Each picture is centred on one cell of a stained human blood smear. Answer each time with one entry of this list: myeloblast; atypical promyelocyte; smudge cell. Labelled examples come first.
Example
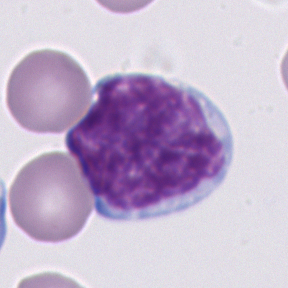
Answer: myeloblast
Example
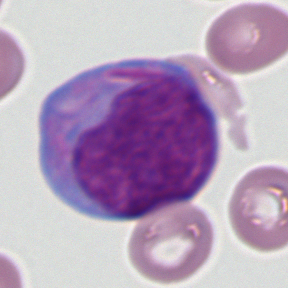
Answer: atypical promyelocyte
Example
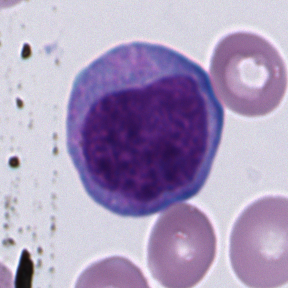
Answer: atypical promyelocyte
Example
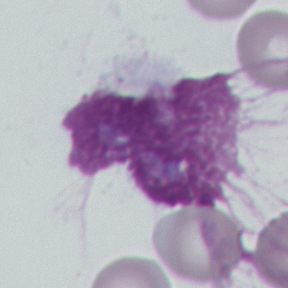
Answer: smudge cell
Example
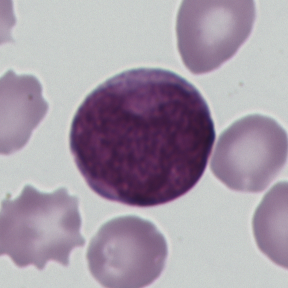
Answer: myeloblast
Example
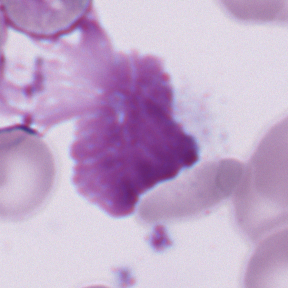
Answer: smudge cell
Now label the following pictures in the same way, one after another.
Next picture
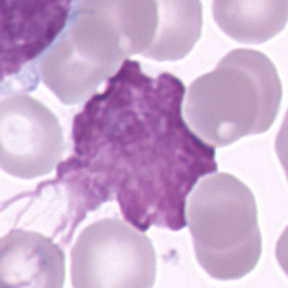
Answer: smudge cell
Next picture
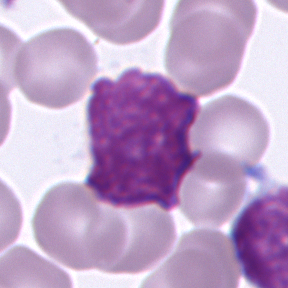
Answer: smudge cell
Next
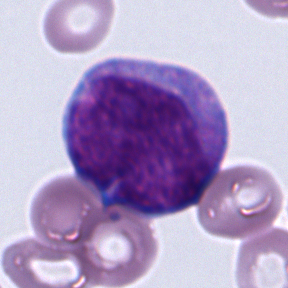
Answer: atypical promyelocyte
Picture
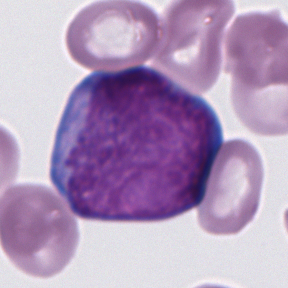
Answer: myeloblast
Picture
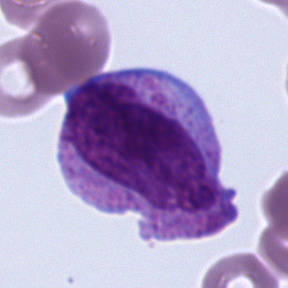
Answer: atypical promyelocyte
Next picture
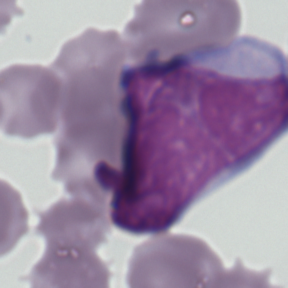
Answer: myeloblast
